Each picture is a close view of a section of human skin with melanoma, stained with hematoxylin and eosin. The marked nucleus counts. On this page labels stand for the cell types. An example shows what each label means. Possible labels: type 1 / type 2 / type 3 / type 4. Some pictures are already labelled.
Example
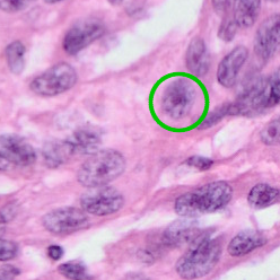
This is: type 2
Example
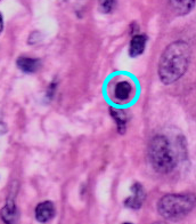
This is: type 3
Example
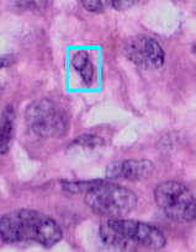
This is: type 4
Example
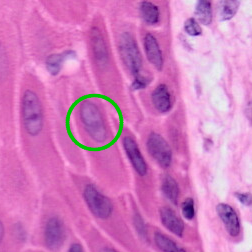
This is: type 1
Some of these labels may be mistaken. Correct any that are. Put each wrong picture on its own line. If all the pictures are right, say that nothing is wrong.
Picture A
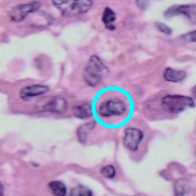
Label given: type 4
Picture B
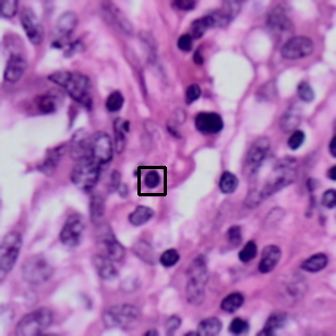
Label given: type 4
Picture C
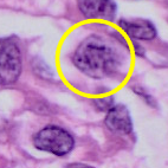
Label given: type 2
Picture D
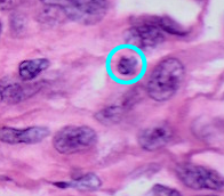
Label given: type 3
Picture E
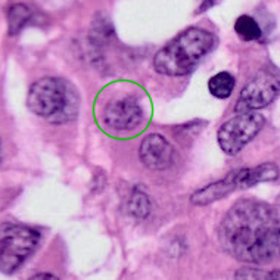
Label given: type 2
Wrong: B (type 4); correct: type 3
